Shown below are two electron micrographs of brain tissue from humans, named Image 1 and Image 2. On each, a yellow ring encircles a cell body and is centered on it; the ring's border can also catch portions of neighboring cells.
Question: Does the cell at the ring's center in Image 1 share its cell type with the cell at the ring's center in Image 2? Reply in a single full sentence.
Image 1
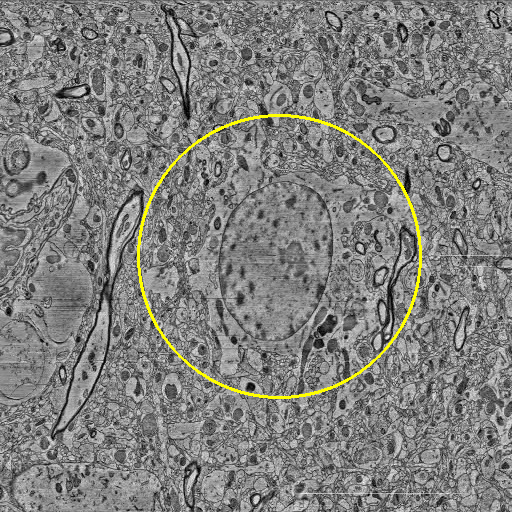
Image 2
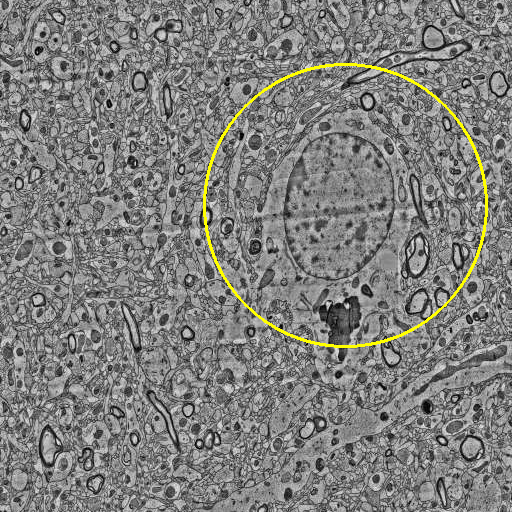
Yes, the two cells at the ring centers, in Image 1 and Image 2, share one cell type.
